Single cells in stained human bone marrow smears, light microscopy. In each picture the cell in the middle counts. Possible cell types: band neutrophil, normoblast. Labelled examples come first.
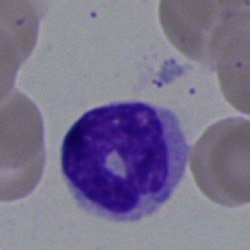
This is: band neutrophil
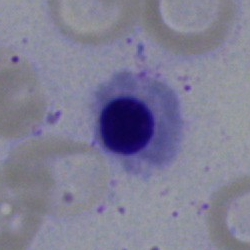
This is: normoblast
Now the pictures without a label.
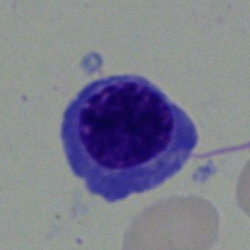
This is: normoblast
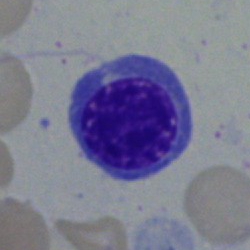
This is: normoblast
